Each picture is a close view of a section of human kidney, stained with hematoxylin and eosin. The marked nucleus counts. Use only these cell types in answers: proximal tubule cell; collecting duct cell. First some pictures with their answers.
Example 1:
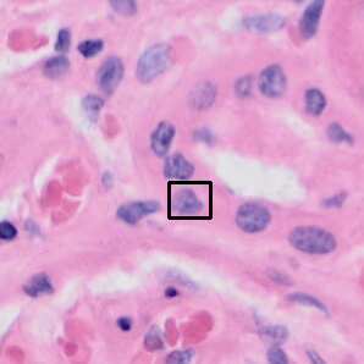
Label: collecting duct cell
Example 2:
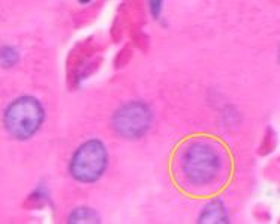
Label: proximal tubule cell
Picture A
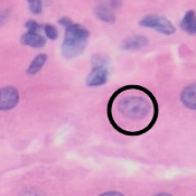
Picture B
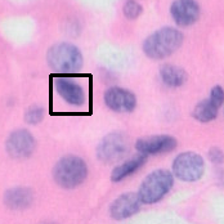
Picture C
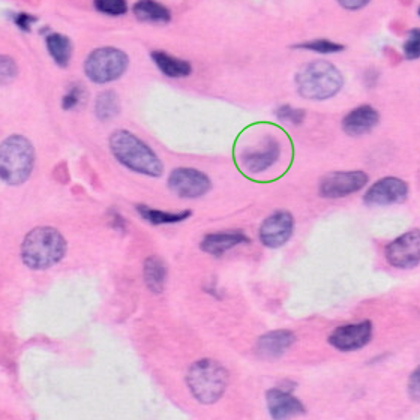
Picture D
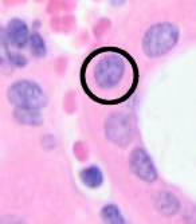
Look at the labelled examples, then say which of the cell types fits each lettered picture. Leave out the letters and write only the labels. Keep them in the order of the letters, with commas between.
proximal tubule cell, collecting duct cell, collecting duct cell, collecting duct cell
